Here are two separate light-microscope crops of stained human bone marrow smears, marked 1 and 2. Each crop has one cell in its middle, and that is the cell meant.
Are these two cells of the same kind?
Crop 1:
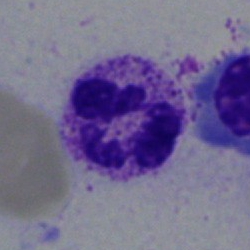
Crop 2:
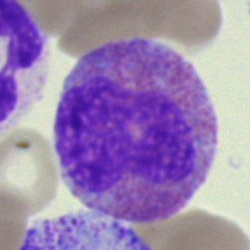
no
